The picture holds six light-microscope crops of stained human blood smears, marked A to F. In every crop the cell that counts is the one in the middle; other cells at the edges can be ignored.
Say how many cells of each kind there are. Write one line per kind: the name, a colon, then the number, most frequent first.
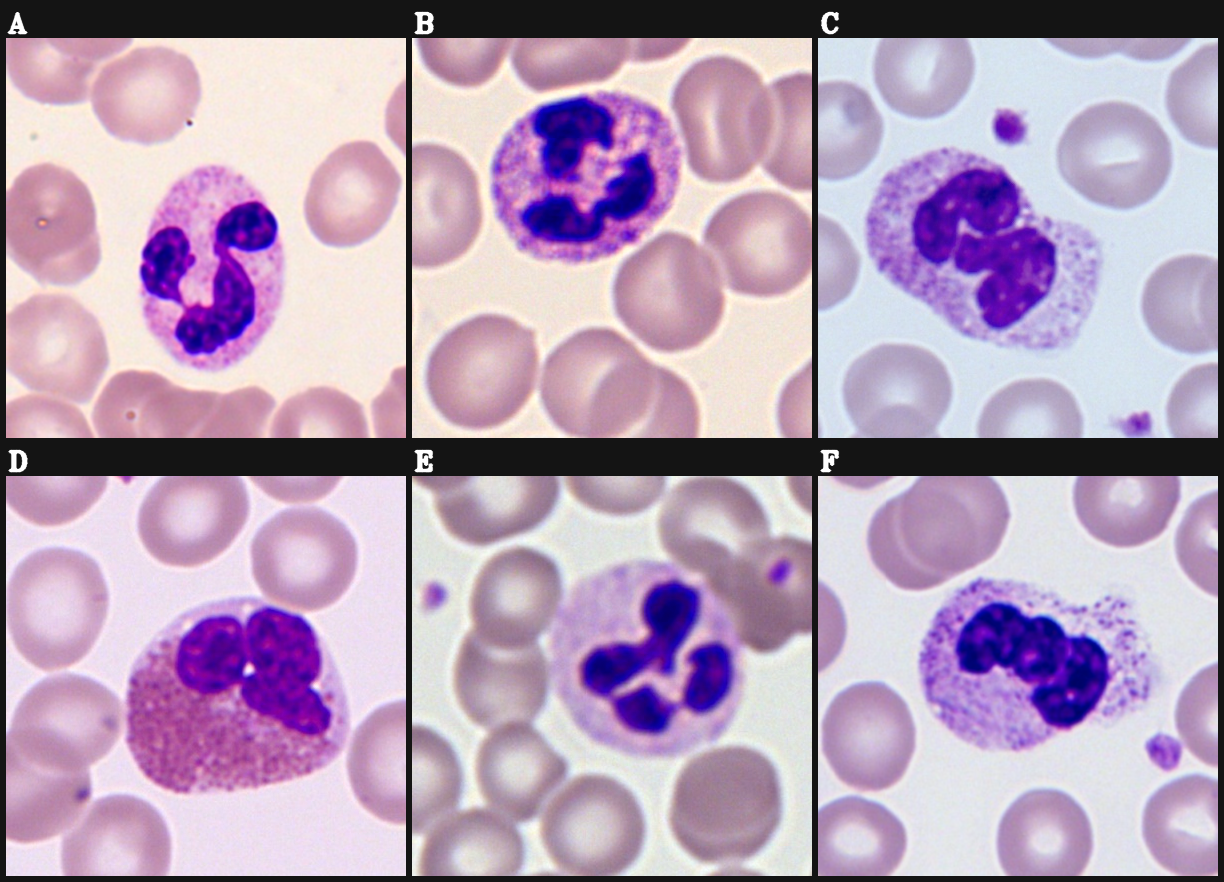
segmented neutrophil: 5
eosinophil: 1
